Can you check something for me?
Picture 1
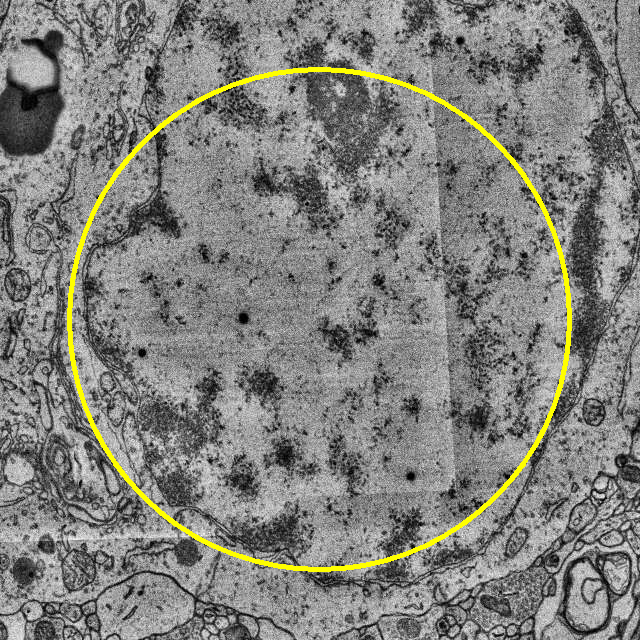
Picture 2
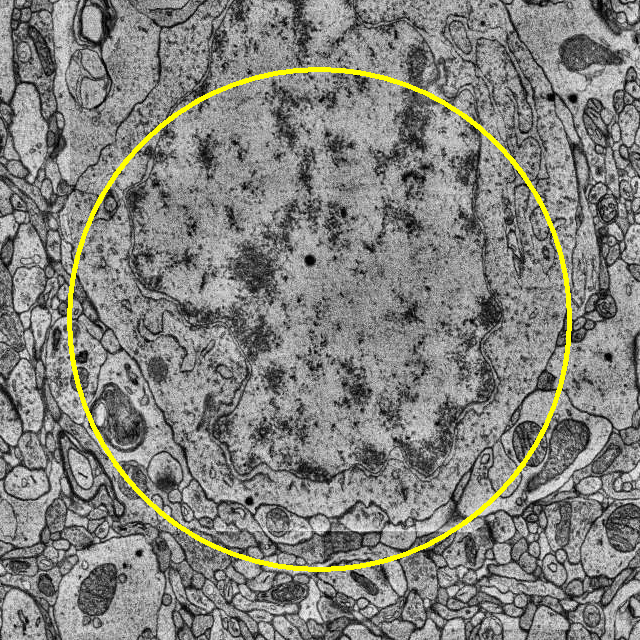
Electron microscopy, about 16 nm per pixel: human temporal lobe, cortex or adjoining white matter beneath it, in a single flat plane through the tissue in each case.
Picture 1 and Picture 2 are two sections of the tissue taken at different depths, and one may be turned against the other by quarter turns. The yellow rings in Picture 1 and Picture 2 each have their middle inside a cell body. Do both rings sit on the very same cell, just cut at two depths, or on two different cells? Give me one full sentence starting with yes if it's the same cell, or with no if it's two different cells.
No, two separate cells are outlined by these yellow rings.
